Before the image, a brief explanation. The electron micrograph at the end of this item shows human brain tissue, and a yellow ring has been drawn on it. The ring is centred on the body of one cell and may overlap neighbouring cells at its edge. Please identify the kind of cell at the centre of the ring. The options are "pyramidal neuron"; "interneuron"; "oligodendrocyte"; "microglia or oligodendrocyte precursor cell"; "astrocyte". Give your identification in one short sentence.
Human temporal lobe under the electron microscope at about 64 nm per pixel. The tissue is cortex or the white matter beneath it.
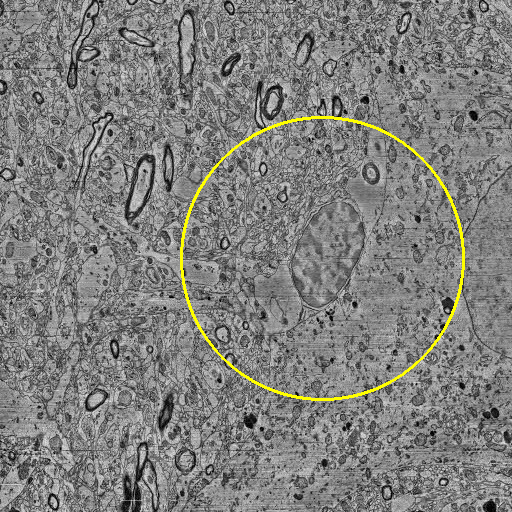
The ring has been placed around a microglial cell or oligodendrocyte precursor cell.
